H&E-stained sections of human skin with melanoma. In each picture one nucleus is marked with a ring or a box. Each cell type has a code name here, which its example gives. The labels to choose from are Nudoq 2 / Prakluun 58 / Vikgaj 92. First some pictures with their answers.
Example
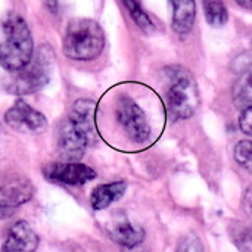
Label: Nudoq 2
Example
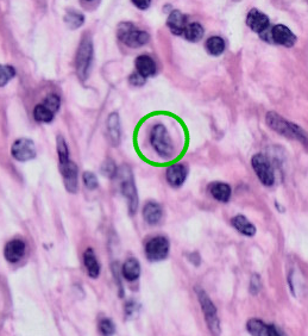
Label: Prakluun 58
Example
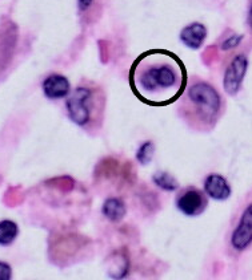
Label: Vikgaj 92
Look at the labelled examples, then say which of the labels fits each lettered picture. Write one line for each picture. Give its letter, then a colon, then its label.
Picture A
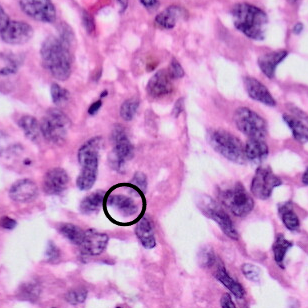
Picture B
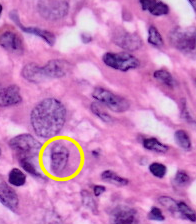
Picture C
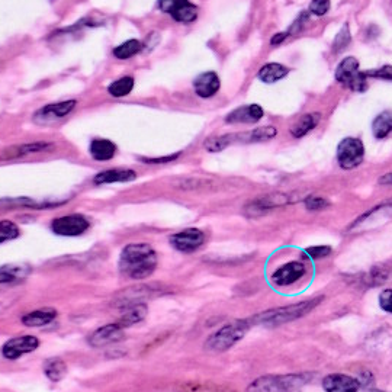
A: Nudoq 2
B: Nudoq 2
C: Prakluun 58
